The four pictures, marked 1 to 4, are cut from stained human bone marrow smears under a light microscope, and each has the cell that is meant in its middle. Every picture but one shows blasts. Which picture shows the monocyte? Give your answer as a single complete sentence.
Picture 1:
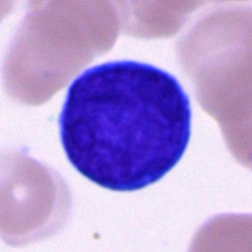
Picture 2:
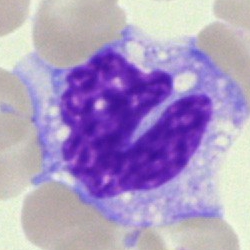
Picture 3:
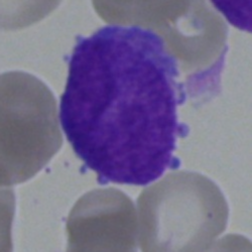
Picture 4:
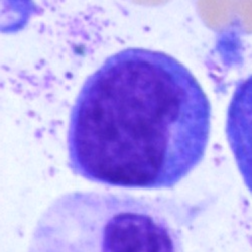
Picture 2 shows the monocyte.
